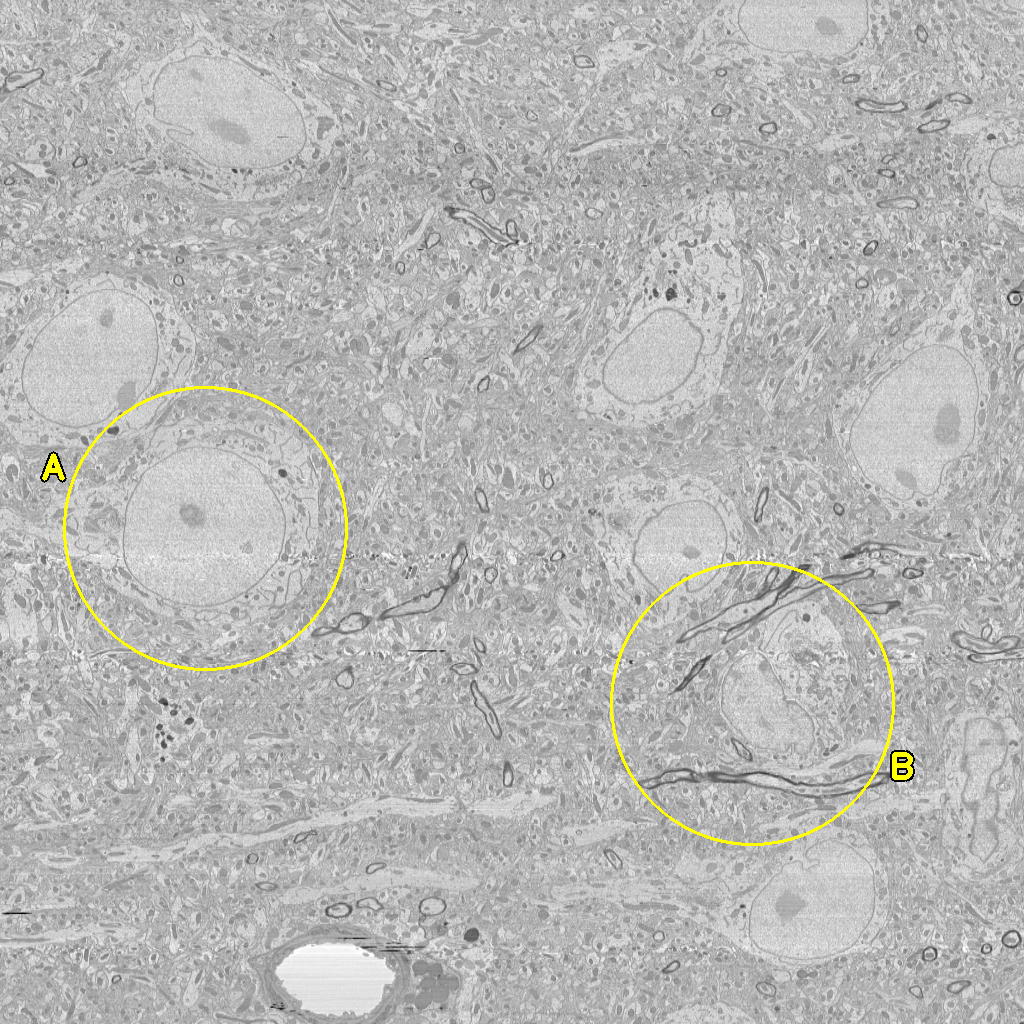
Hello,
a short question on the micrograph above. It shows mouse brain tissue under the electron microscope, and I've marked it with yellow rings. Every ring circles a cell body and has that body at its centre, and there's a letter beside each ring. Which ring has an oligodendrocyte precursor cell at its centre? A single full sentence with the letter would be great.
The cell you asked about sits at the centre of ring B.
